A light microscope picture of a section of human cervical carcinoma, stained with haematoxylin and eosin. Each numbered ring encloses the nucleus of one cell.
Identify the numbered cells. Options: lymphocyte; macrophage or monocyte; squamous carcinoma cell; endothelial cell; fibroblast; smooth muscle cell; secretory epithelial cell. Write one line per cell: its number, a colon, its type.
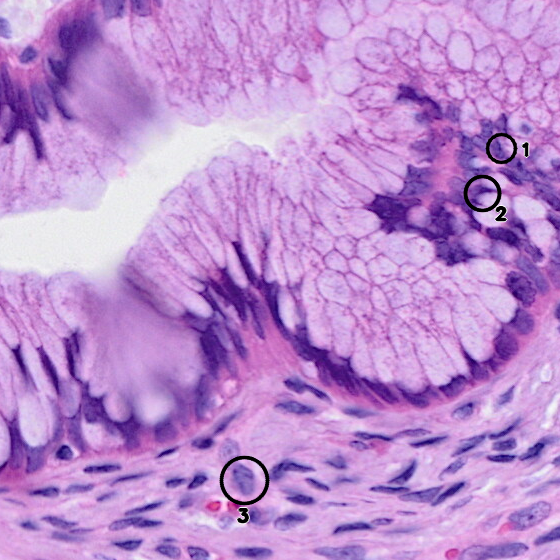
1: secretory epithelial cell
2: secretory epithelial cell
3: endothelial cell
